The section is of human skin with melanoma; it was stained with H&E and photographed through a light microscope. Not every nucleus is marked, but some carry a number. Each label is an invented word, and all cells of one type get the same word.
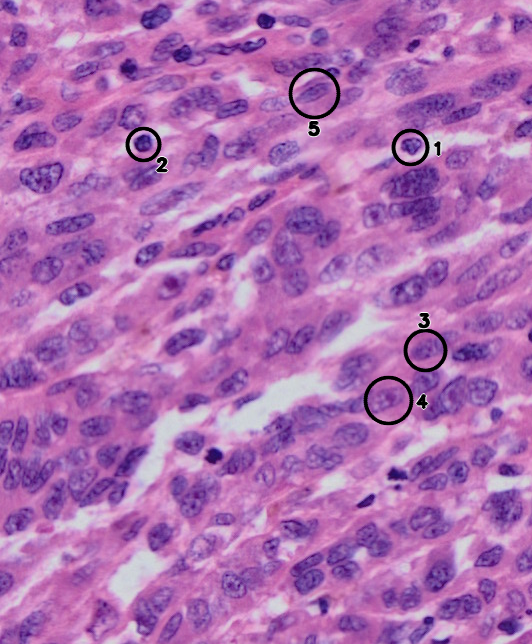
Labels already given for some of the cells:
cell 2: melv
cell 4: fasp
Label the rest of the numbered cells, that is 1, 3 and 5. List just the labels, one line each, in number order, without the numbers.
melv
fasp
fasp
